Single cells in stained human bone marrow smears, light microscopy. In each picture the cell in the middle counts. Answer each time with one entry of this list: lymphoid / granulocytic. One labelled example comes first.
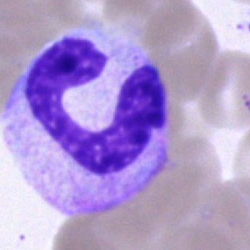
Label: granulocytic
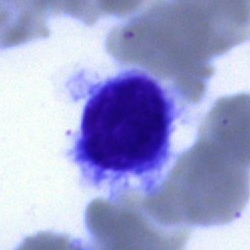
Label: lymphoid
